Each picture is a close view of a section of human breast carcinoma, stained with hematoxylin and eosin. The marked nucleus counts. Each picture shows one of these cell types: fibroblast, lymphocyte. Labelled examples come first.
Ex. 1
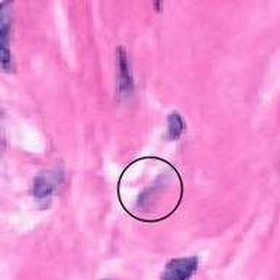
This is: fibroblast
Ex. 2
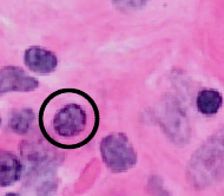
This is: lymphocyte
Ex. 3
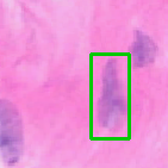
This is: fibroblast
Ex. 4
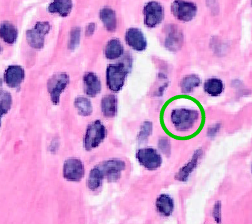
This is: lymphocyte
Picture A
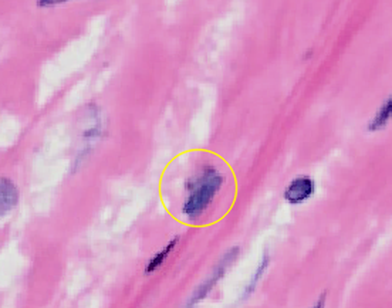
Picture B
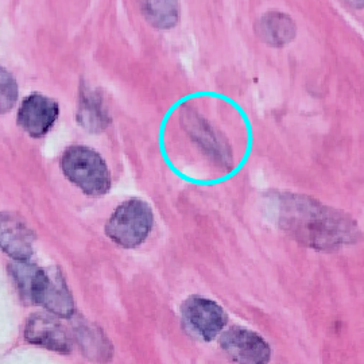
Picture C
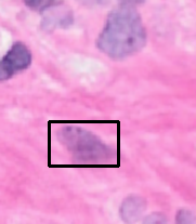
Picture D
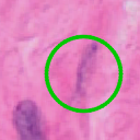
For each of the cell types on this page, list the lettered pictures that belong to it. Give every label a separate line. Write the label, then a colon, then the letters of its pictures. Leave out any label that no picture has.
fibroblast: B, C, D
lymphocyte: A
